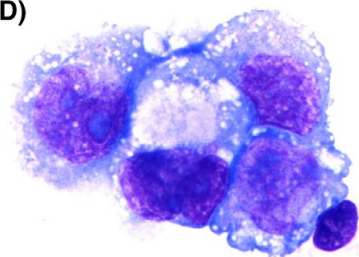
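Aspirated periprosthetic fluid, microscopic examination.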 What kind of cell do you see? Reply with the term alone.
Large, pleomorphic cells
